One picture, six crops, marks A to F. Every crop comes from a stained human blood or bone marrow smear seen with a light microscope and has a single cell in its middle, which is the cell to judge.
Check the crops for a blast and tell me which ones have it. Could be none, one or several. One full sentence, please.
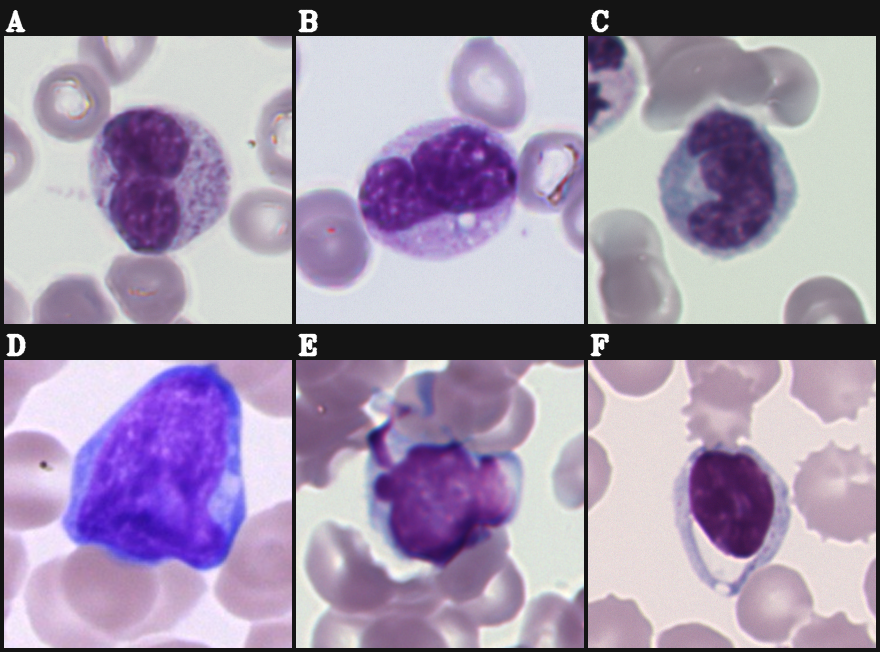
Crops D and E depict blasts in the middle.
